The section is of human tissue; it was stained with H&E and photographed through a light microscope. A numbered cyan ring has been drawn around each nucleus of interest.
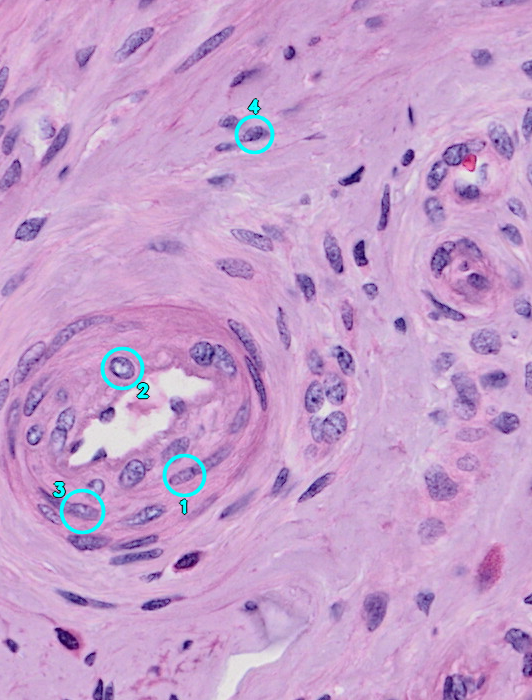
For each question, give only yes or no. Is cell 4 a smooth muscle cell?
no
